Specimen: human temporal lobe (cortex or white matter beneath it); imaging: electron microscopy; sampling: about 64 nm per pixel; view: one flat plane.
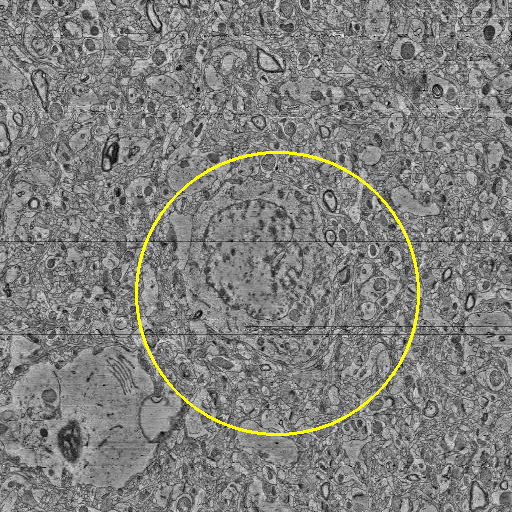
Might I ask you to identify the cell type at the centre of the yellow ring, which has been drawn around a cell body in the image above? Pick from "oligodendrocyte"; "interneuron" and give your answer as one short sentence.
The centre of the ring falls on an interneuron.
